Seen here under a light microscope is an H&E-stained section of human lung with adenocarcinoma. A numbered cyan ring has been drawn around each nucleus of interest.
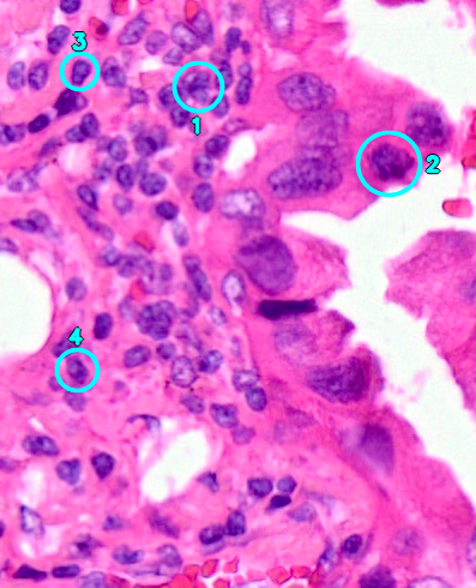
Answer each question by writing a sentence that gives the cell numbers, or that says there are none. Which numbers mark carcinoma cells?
Just the cell marked 2 is a carcinoma cell; none of the other marked cells is.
